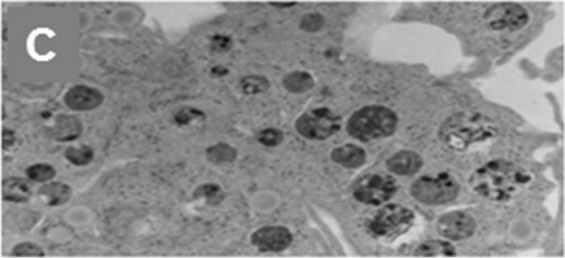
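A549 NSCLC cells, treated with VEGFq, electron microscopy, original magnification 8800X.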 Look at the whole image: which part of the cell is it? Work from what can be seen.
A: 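Many round membrane-bound vacuoles fill the cytoplasm. The vacuoles contain dark, granular or fragmented material.
Conclusion: autophagic vacuoles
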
